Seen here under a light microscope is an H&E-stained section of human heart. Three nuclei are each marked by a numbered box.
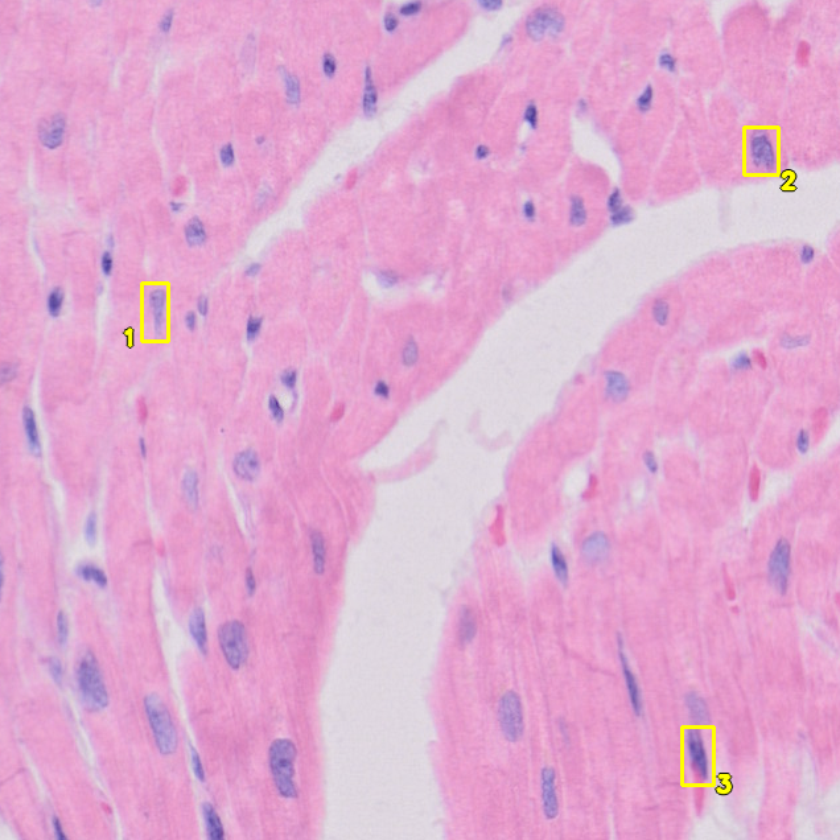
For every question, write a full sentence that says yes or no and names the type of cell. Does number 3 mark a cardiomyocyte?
No, the cell at number 3 is an endothelial cell instead of a cardiomyocyte.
